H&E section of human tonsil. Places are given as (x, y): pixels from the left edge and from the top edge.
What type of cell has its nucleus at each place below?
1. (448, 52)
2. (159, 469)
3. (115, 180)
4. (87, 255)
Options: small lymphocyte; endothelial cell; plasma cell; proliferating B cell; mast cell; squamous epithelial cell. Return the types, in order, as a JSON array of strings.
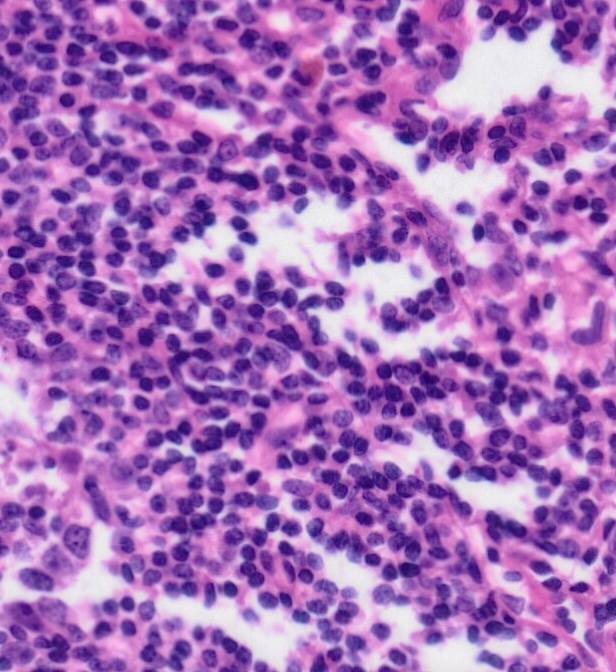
["endothelial cell", "small lymphocyte", "small lymphocyte", "small lymphocyte"]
